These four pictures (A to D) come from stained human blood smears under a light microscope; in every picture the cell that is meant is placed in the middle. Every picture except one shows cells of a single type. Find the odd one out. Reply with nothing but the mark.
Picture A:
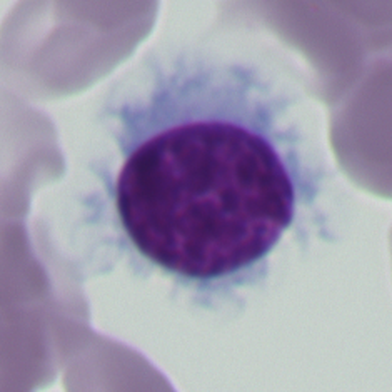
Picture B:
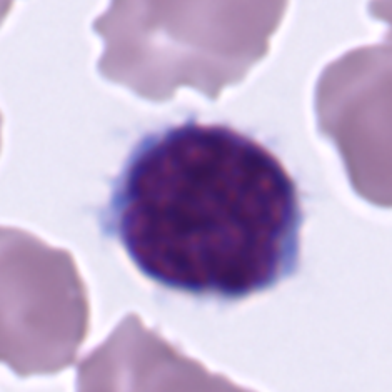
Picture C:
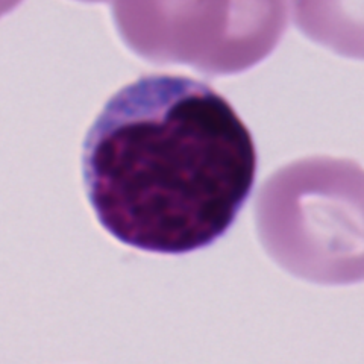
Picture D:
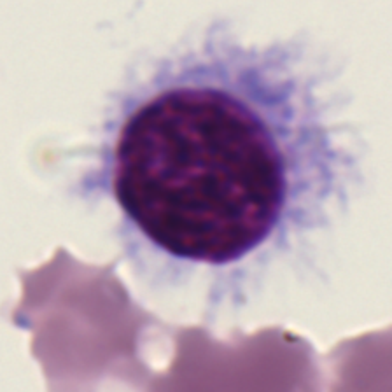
C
